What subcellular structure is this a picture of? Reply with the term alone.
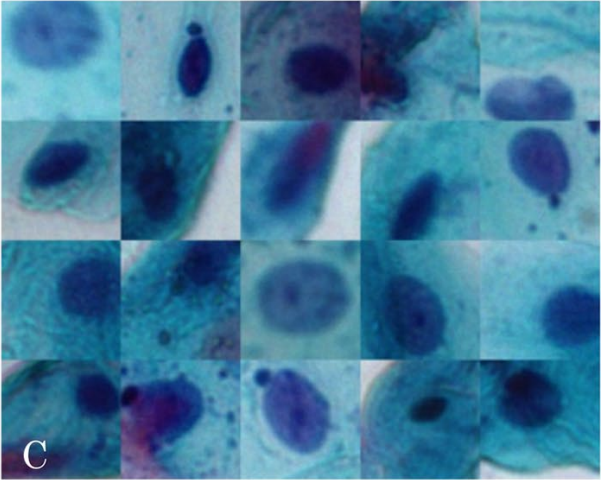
cell nuclei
